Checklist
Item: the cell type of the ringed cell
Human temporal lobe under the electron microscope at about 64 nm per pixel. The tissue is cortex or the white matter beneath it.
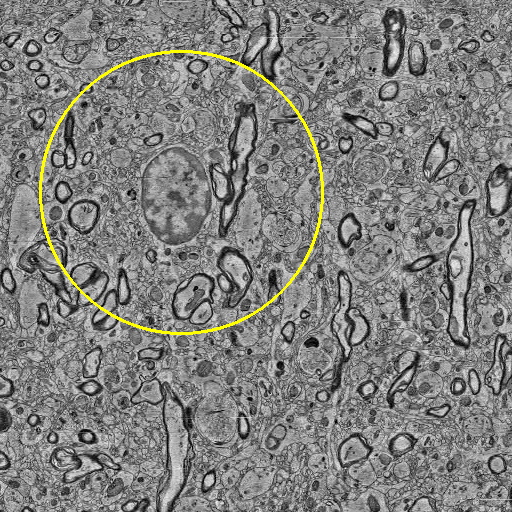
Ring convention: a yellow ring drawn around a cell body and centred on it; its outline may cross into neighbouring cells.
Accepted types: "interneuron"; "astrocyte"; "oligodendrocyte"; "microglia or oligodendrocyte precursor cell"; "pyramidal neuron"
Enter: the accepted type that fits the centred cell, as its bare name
microglia or oligodendrocyte precursor cell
